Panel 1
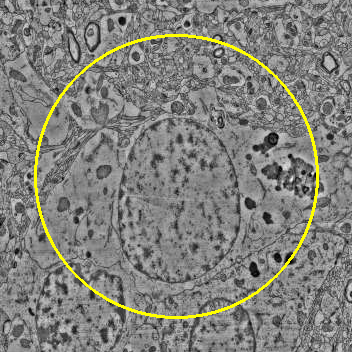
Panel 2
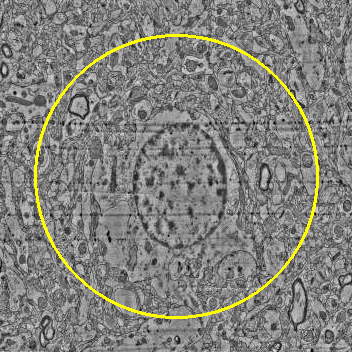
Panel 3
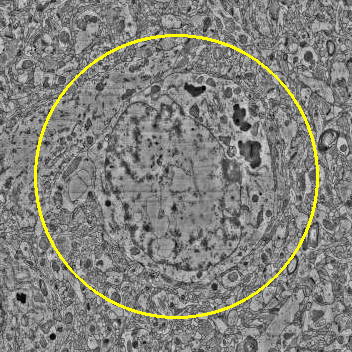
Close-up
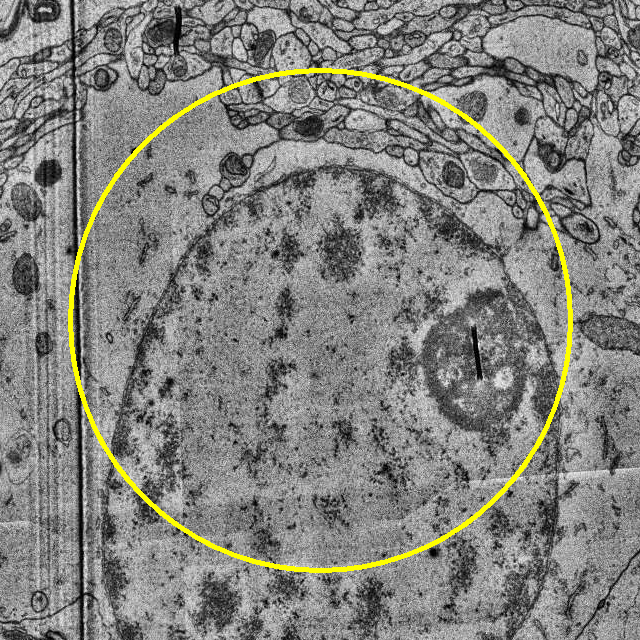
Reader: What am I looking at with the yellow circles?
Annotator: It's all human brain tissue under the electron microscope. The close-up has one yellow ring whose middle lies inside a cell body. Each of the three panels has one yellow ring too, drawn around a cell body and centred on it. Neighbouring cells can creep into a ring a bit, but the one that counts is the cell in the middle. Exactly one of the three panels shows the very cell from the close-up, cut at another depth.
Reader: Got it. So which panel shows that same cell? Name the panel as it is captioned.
Panel 1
